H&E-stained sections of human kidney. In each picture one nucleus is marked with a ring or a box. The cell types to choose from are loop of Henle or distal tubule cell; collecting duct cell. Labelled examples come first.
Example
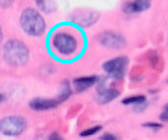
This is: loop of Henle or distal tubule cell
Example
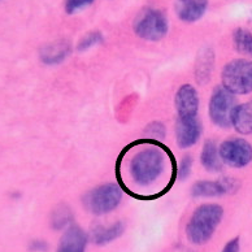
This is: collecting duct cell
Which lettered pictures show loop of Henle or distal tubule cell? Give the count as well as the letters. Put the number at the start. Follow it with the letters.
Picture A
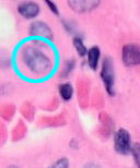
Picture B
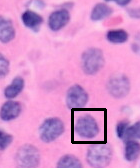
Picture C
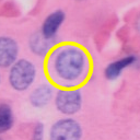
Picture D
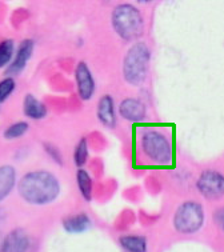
Count: 1 (B)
